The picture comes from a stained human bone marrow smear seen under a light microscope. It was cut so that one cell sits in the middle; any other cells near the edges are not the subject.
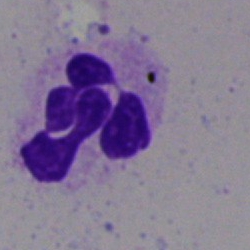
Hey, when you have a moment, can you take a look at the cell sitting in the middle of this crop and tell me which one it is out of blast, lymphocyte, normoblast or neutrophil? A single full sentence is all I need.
In the crop, the cell of interest at the centre is a neutrophil.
